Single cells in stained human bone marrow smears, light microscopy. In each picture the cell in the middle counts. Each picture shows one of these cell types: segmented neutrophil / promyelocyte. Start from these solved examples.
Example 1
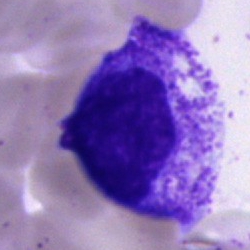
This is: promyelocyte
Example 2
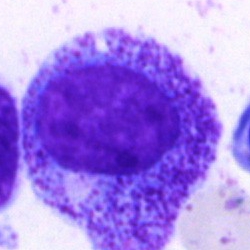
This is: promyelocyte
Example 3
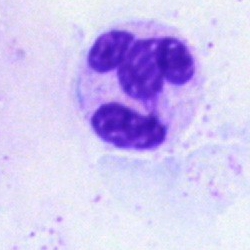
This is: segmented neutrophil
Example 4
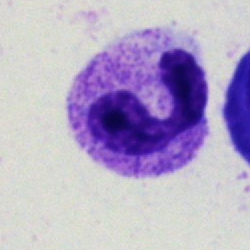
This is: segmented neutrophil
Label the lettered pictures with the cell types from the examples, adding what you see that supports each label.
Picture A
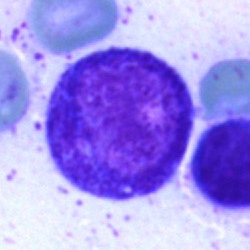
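promyelocyte: The chromatin is fine and lacy rather than clumped.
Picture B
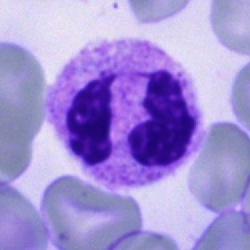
segmented neutrophil: The chromatin is dark purple and coarsely clumped.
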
